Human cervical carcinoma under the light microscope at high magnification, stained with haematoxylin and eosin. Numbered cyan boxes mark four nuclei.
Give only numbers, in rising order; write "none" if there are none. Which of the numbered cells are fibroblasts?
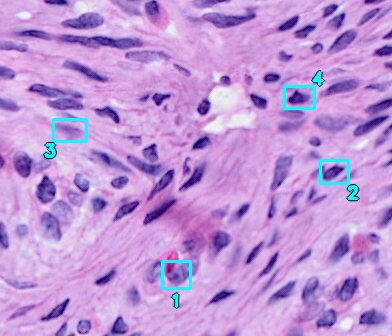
2, 3, 4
